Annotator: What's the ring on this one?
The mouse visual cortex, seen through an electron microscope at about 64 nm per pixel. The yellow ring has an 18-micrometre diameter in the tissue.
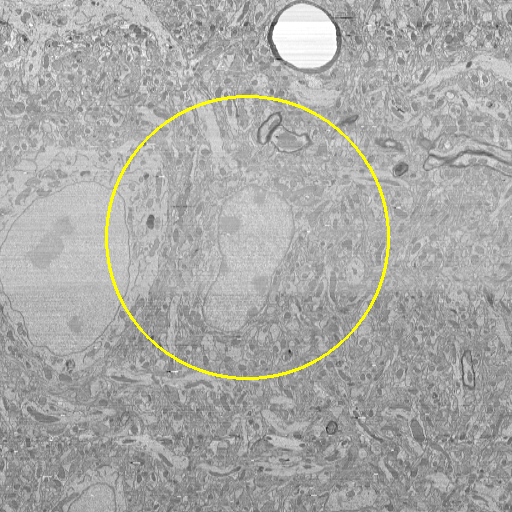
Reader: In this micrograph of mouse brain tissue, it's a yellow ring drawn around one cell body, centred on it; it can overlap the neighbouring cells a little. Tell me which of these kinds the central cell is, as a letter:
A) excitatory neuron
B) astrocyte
B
